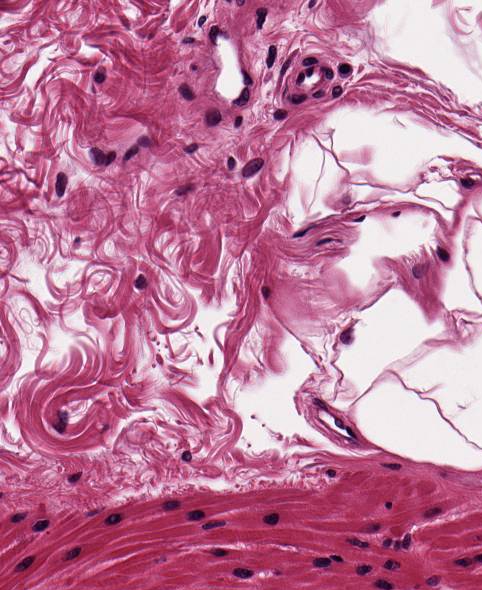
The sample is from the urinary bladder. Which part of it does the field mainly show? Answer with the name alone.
loose connective tissue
